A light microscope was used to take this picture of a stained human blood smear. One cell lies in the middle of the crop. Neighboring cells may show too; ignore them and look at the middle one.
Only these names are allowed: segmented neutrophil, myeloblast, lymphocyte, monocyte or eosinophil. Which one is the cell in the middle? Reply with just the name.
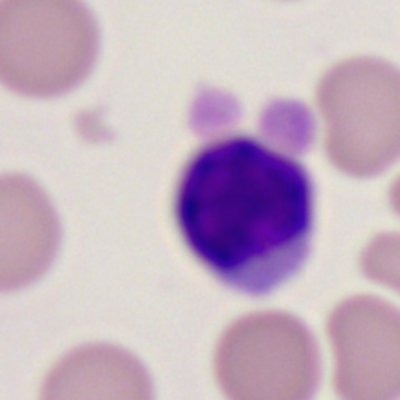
lymphocyte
